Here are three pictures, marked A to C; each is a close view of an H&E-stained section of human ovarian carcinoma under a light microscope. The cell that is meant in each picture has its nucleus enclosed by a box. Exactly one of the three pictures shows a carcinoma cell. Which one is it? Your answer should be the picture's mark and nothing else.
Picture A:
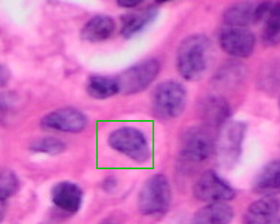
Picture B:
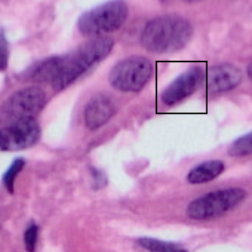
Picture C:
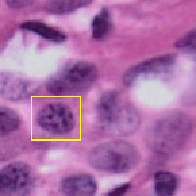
B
